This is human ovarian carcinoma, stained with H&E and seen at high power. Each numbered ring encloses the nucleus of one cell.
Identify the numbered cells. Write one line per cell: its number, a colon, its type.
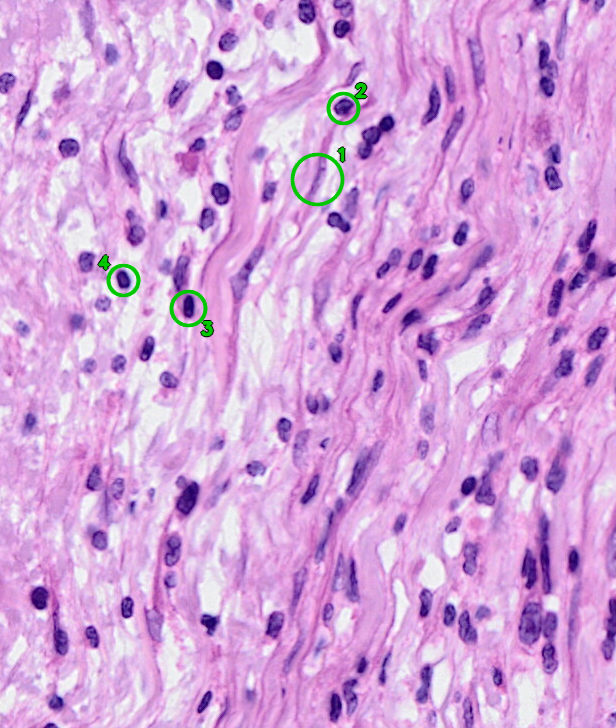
1: fibroblast
2: lymphocyte
3: lymphocyte
4: lymphocyte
